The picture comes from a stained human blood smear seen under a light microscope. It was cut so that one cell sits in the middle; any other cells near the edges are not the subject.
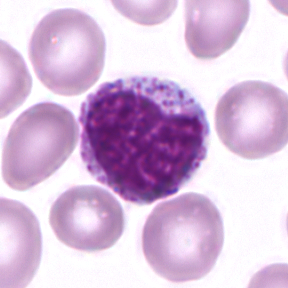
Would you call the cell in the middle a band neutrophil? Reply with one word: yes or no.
no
